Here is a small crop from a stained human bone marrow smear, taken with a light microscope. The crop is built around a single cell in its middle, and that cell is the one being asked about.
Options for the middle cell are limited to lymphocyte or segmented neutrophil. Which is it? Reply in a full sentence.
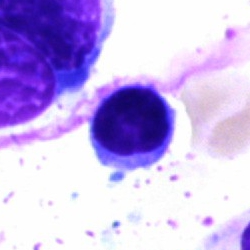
This particular crop is centered on a lymphocyte.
